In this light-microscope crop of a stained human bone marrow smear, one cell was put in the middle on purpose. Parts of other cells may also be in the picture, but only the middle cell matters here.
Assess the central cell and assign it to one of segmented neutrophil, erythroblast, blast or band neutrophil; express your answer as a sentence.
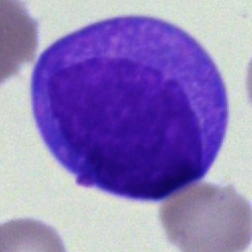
The cell occupying the middle of the crop is a blast.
